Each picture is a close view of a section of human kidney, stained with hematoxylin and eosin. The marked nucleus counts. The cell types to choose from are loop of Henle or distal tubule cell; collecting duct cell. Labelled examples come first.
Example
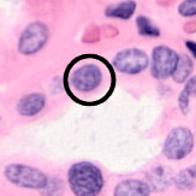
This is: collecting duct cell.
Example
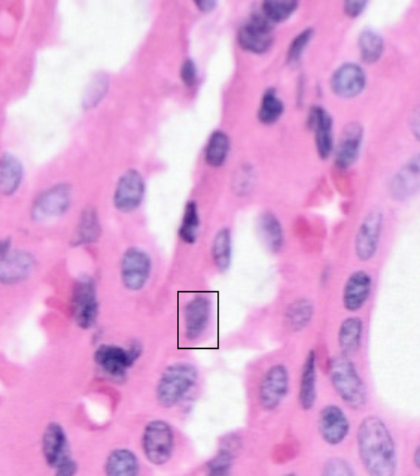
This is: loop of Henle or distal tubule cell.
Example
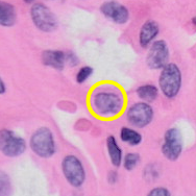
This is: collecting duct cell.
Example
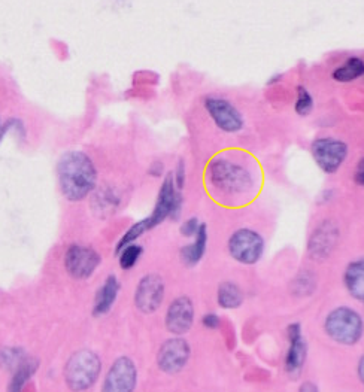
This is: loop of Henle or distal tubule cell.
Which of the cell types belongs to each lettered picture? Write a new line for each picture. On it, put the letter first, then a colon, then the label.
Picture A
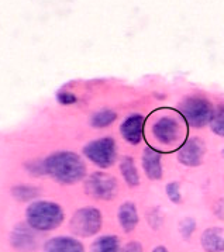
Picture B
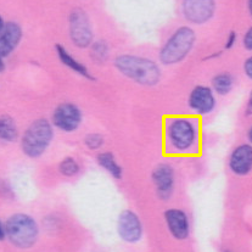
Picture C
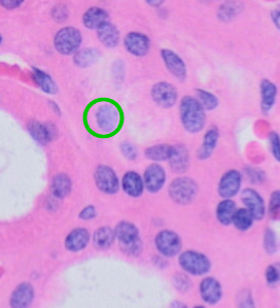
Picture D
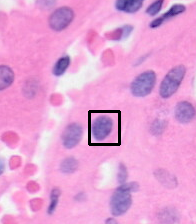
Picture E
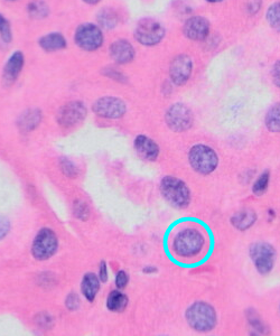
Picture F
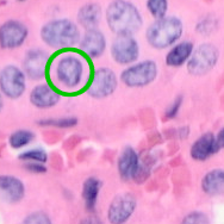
A: collecting duct cell.
B: collecting duct cell.
C: collecting duct cell.
D: loop of Henle or distal tubule cell.
E: loop of Henle or distal tubule cell.
F: collecting duct cell.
